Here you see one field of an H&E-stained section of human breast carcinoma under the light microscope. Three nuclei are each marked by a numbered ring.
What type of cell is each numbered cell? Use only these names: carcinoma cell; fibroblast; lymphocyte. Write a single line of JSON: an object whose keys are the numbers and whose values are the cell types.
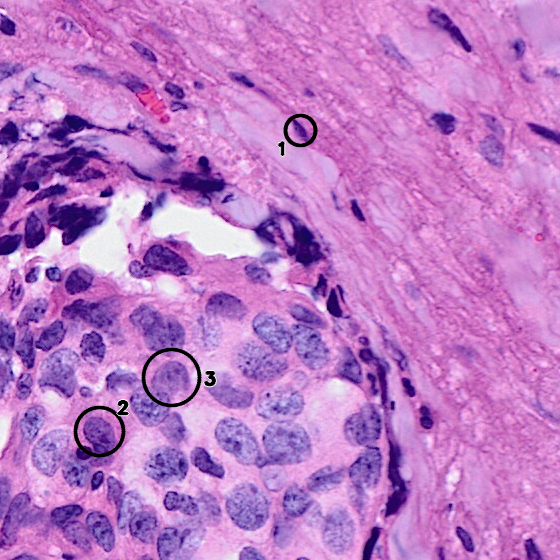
{"1": "fibroblast", "2": "carcinoma cell", "3": "carcinoma cell"}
